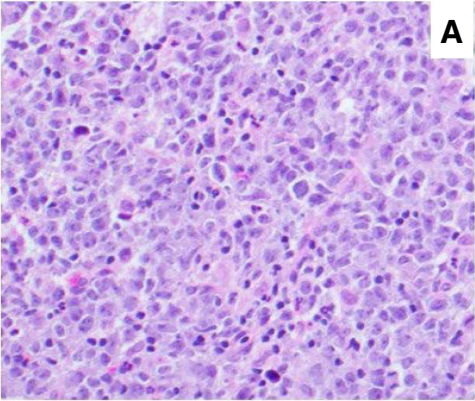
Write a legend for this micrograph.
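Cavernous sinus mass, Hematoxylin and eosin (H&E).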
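This is a diffuse sheet of large lymphoid cells replacing the tissue, with no glands, follicles or other normal structure left. The cells lie loosely side by side rather than joined into clusters. Their nuclei are large, round to oval, with open, vesicular chromatin and in places visible nucleoli, and they carry only a thin rim of pale pink to purplish cytoplasm. Scattered among them are a few much smaller cells with dense, dark round nuclei, which make the size of the large cells plain. A faint pink background is seen between the cells.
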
